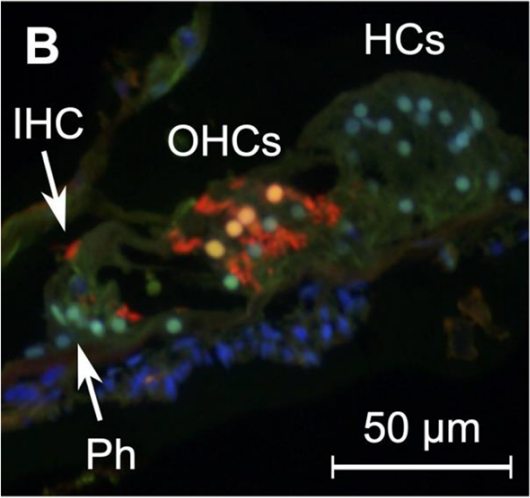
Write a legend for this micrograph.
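This close-up shows the organ of Corti with its hair cells and supporting cells resting on a thin basal membrane. In the middle, a cluster of cells is filled with red label, some with yellowish nuclei. To the right rises a large dome of cells with pale blue-green round nuclei. Beneath the basal membrane runs a layer of cells with dark blue nuclei that lack the pale green tint seen in the cells above.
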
